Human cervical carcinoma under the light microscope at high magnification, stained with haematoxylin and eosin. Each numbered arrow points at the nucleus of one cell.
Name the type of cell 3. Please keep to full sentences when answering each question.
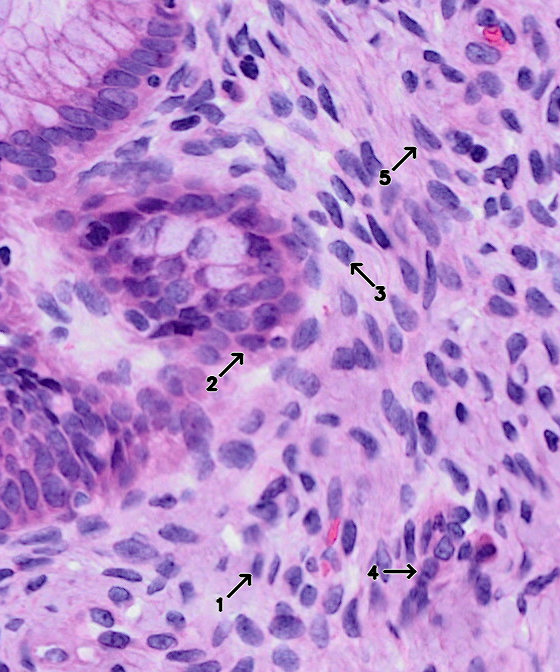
The one labeled 3 is a fibroblast, to put it simply.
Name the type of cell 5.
Heads up, the cell numbered 5 is a fibroblast.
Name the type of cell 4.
The cell pointed out as number 4 is an endothelial cell.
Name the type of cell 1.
The cell indicated by marker 1 is a fibroblast in this section.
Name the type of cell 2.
The expected answer is that cell 2 is a secretory epithelial cell.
